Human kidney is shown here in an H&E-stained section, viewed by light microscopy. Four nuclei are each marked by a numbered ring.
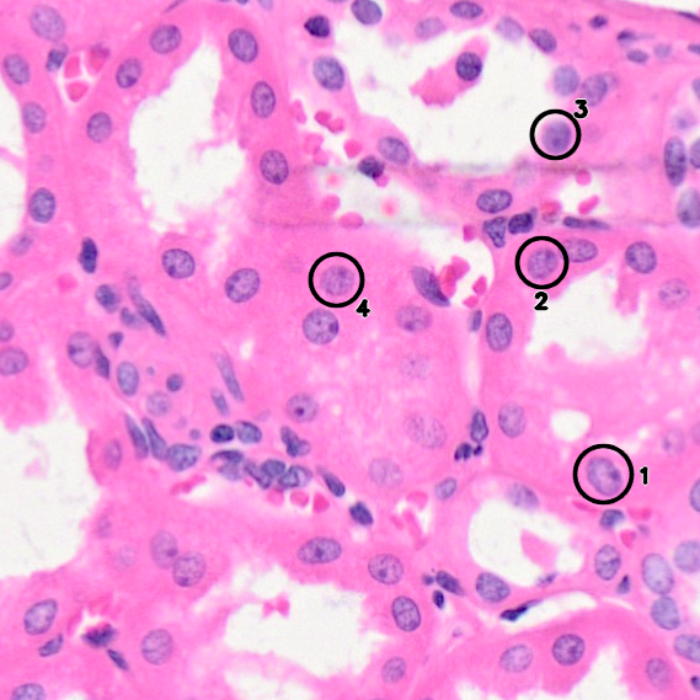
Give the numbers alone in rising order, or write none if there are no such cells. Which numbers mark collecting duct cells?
3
